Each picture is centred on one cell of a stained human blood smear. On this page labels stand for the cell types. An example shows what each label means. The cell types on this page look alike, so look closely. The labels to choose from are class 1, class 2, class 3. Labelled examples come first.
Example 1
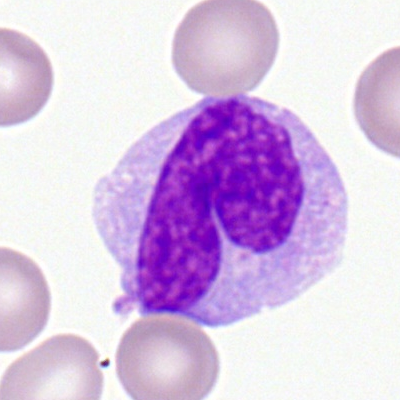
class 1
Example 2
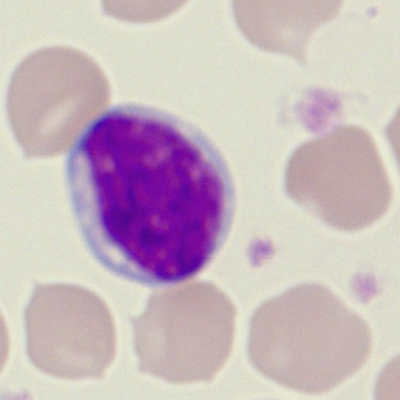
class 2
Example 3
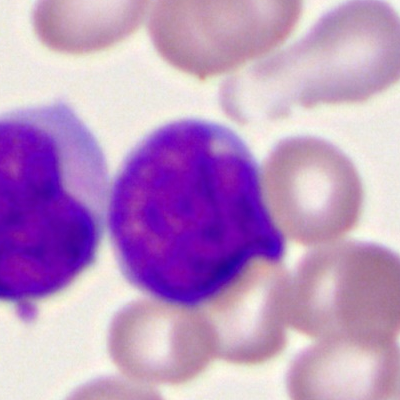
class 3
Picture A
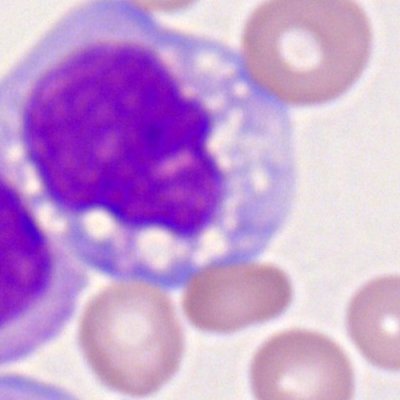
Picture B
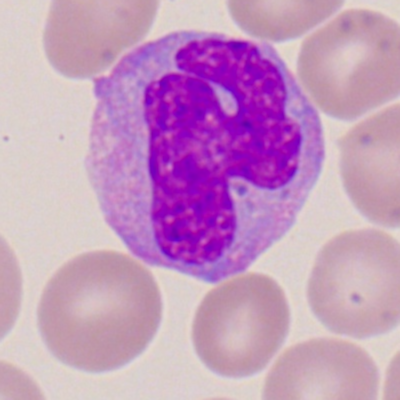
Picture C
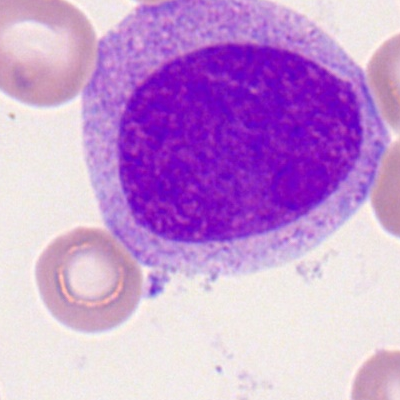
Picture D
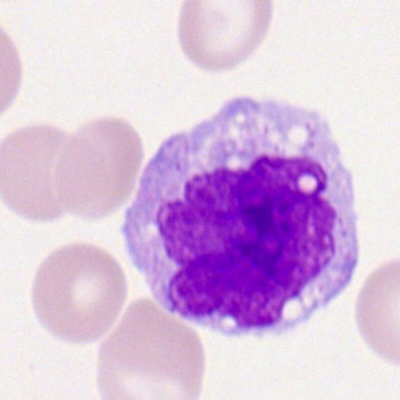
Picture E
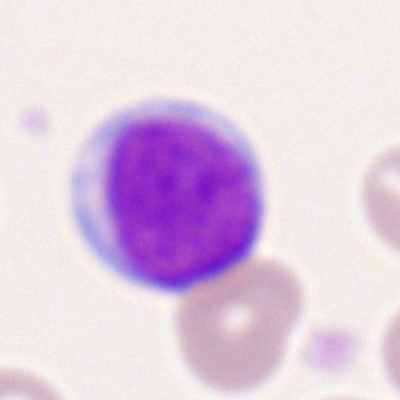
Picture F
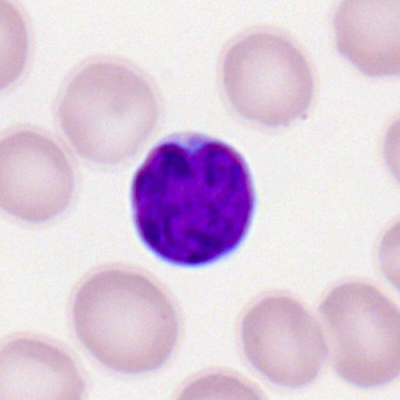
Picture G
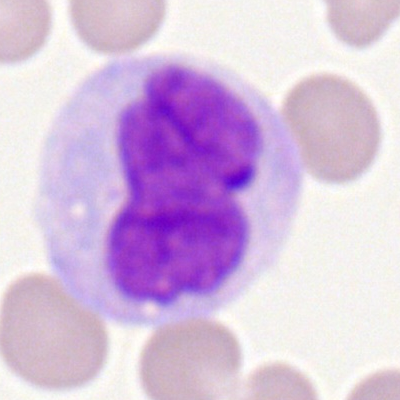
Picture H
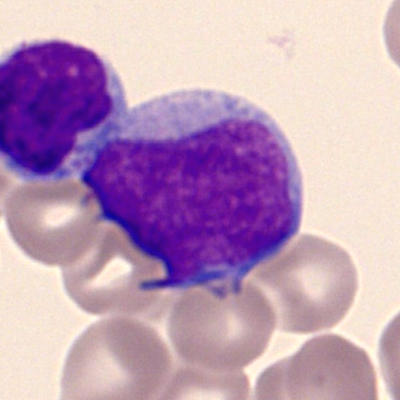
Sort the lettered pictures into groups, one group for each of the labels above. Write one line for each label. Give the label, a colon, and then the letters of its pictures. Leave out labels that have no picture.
class 1: A, B, D, G
class 2: E, F
class 3: C, H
